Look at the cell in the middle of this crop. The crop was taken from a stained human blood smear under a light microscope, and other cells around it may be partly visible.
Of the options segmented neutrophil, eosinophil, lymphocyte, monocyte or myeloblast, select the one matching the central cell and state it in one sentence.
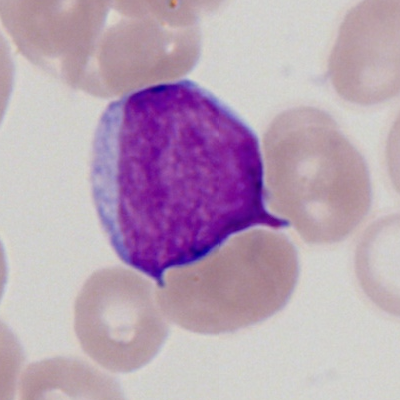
The cell at the centre of the field is a myeloblast.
